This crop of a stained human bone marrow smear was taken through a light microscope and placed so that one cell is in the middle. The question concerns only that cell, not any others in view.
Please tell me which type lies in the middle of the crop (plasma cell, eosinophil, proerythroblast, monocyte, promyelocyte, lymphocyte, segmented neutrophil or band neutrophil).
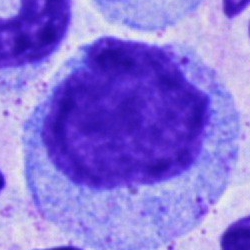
promyelocyte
